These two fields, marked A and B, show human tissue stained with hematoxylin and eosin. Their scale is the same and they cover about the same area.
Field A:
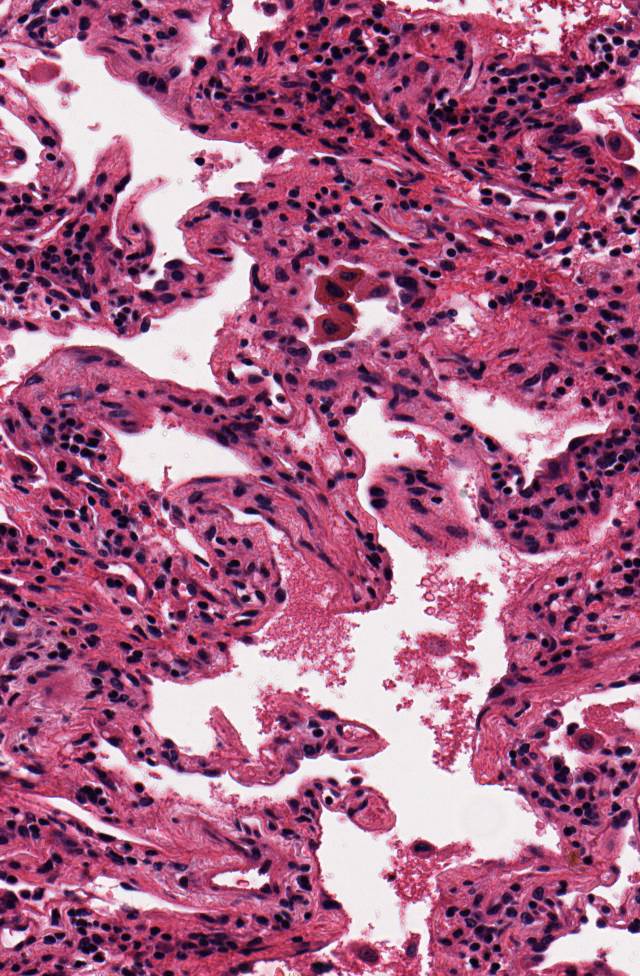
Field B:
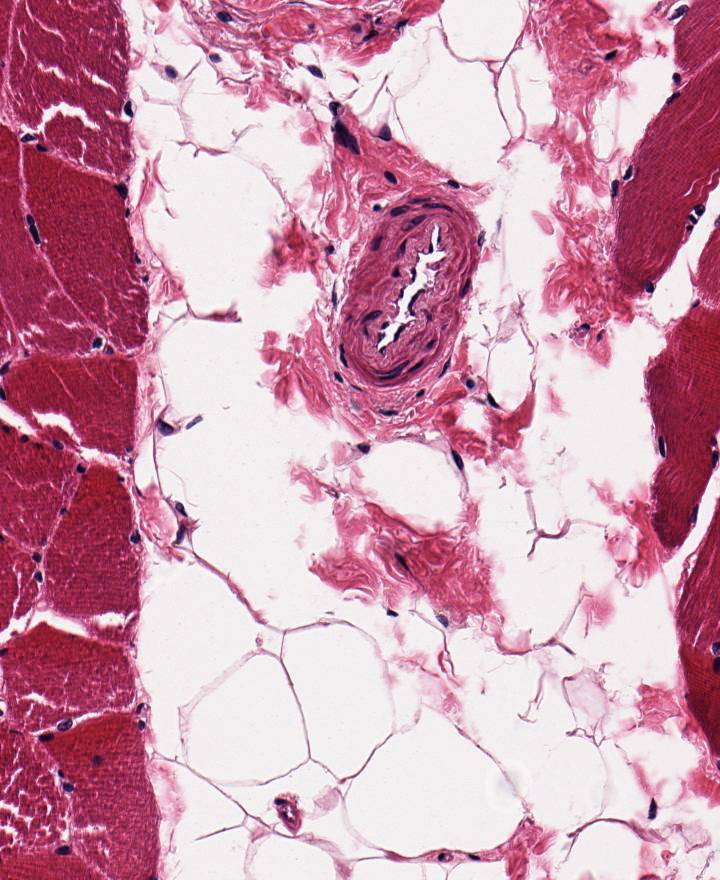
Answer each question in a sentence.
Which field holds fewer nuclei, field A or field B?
There are fewer nuclei in field B.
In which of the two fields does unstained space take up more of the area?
Field B has more white space.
